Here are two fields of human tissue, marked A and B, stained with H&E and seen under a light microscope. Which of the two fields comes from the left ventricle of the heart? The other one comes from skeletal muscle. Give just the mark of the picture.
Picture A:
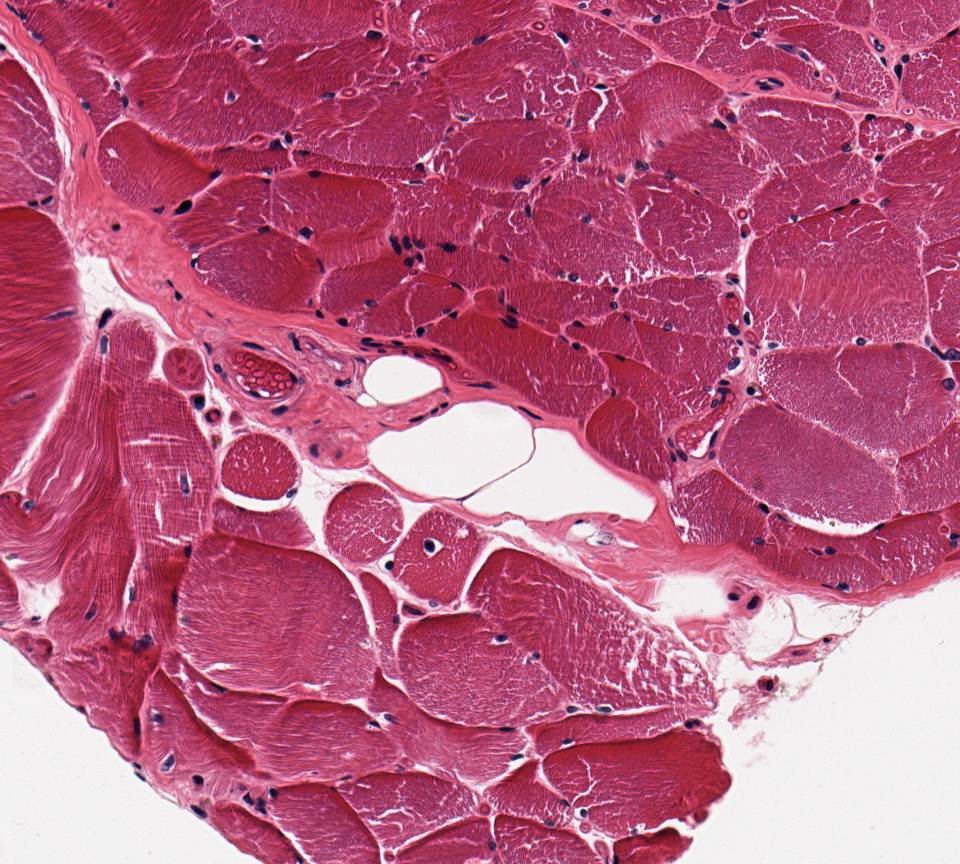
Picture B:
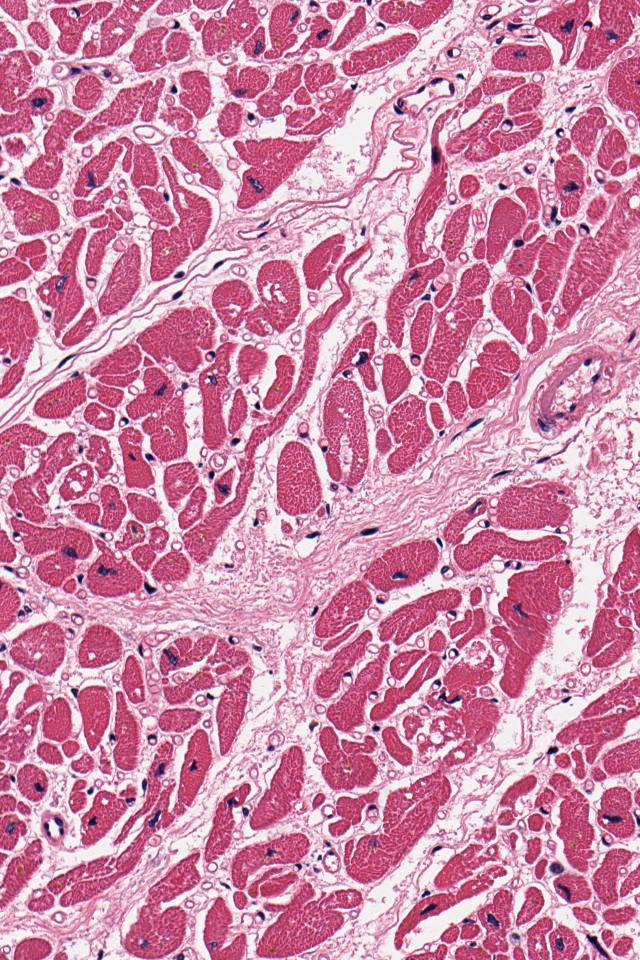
B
